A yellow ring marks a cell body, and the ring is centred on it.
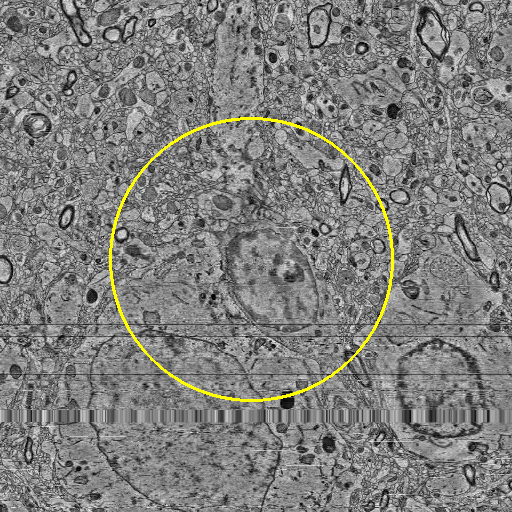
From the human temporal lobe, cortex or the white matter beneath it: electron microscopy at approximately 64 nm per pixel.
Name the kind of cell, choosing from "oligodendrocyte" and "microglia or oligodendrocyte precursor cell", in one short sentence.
The marked cell body belongs to an oligodendrocyte.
